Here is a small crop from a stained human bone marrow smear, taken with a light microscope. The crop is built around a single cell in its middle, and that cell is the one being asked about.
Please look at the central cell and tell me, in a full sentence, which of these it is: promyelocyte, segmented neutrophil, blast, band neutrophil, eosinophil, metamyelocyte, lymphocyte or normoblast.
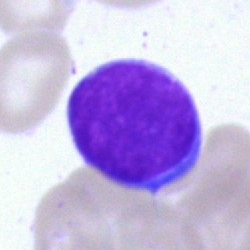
Standing at the centre of this crop is a blast.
